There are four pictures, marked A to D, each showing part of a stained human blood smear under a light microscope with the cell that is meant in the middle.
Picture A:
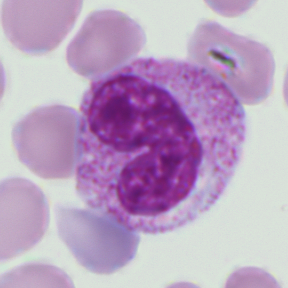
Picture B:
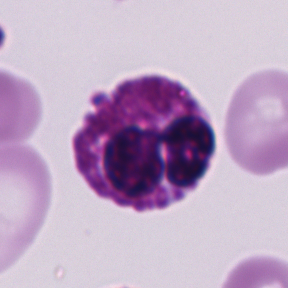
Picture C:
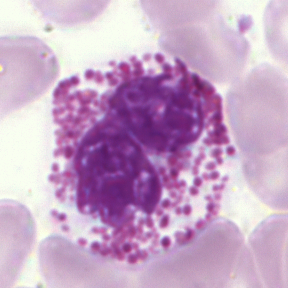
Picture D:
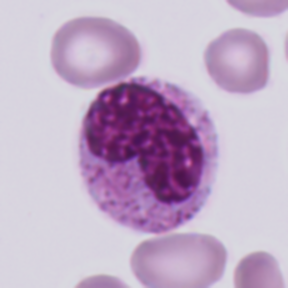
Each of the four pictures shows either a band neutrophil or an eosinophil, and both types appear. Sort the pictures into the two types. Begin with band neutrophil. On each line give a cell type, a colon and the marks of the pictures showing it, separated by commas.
band neutrophil: A, D
eosinophil: B, C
